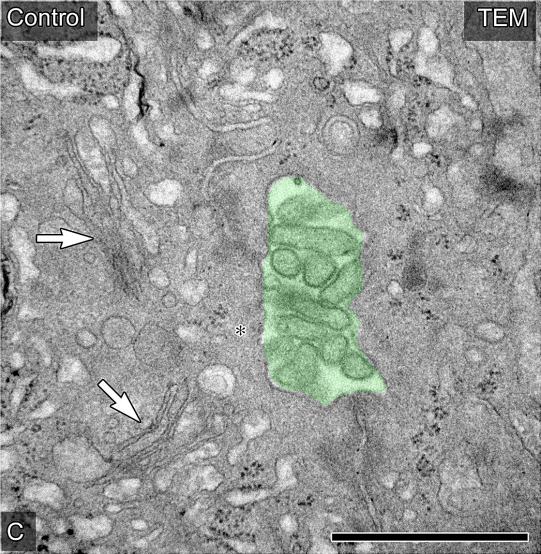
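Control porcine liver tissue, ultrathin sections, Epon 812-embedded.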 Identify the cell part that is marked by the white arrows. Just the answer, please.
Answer: Golgi apparatus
